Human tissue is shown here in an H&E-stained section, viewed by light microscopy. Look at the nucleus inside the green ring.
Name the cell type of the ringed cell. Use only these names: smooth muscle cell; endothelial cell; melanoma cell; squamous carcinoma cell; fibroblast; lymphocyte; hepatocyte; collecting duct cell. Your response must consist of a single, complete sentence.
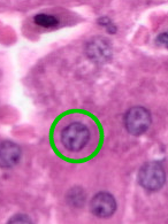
Within this tissue, the ringed cell is a hepatocyte.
